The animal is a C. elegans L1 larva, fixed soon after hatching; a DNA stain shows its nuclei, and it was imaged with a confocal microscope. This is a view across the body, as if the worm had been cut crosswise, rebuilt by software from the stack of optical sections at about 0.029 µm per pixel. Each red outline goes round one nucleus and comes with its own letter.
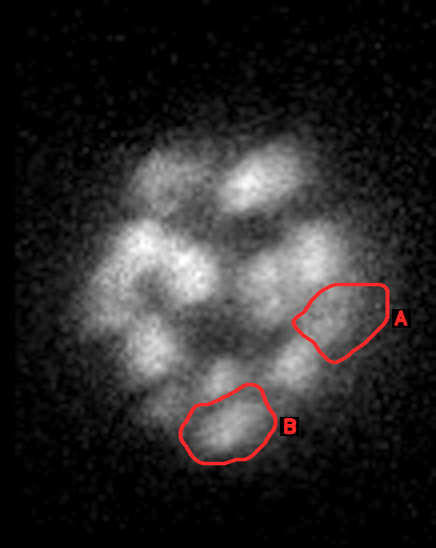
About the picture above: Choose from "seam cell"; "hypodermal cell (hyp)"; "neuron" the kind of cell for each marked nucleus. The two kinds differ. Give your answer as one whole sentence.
A is in a seam cell and B is in a hypodermal cell (hyp).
